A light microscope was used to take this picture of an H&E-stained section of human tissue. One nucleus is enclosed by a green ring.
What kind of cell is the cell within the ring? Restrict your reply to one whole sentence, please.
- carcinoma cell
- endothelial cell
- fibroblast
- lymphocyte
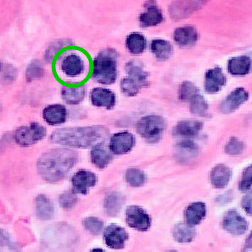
At the level of cell identity, the cell within the ring is a lymphocyte.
